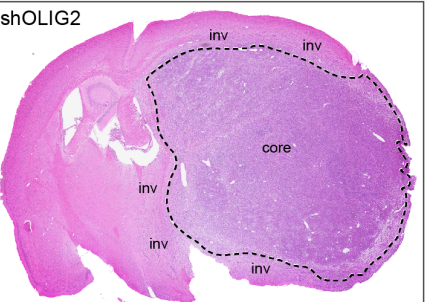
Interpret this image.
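This low-power coronal section of brain shows a large, densely cellular, purple-staining tumor mass occupying most of one hemisphere. The mass has a fairly well demarcated, rounded border against the paler pink surrounding brain, which appears compressed at its margins. The opposite hemisphere is pale pink and largely free of the dense cellular tissue, and the ventricle is visible as a white cleft near the midline.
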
